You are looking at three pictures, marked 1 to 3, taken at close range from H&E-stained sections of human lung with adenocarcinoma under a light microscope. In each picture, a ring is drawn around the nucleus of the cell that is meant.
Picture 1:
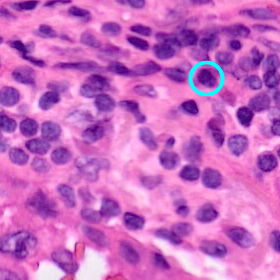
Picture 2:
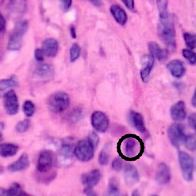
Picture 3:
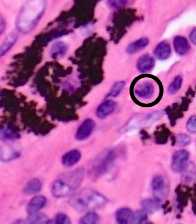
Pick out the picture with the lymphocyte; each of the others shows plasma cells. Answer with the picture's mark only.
3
